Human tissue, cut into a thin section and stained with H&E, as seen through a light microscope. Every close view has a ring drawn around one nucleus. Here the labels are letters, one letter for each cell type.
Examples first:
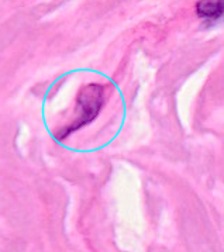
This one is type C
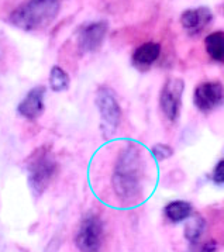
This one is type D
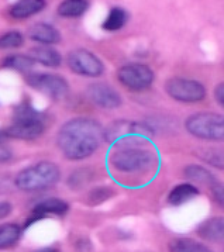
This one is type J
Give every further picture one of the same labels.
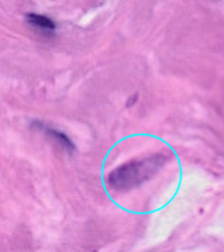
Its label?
type C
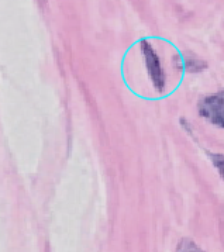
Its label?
type C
